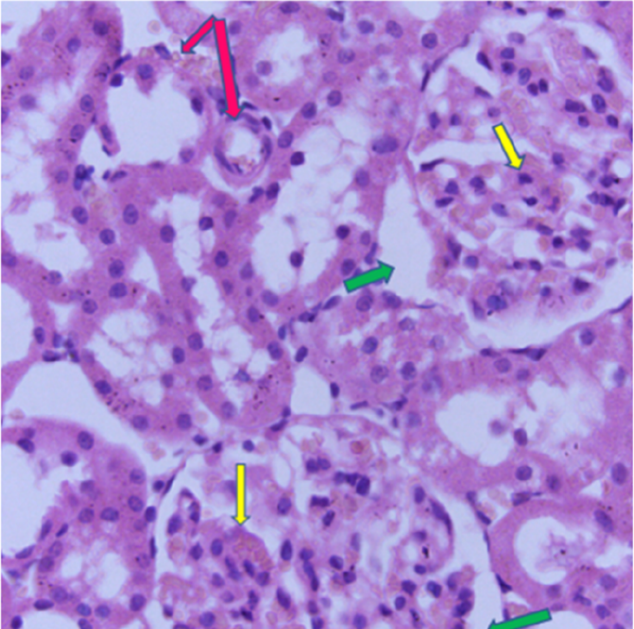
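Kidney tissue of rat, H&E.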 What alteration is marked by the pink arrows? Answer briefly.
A: Congestion of interstitial.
